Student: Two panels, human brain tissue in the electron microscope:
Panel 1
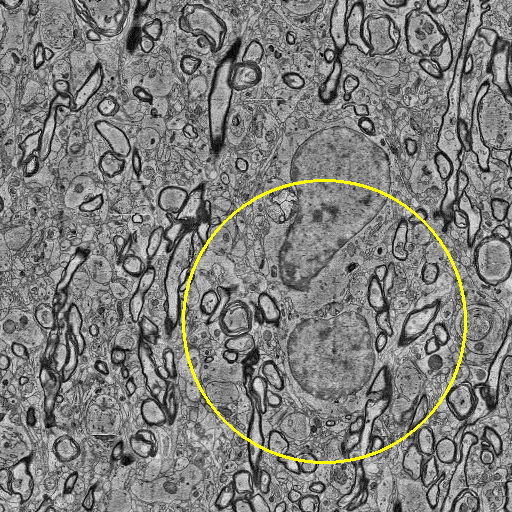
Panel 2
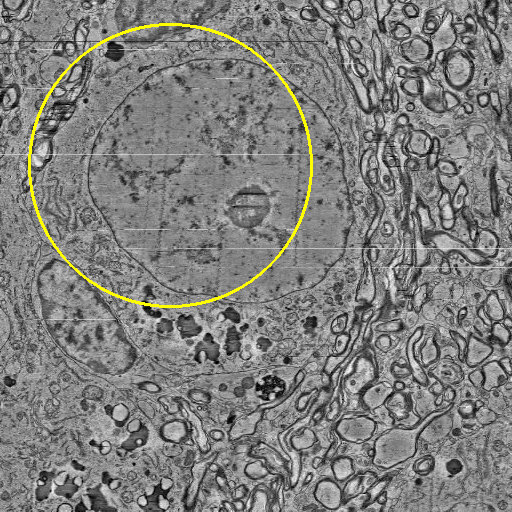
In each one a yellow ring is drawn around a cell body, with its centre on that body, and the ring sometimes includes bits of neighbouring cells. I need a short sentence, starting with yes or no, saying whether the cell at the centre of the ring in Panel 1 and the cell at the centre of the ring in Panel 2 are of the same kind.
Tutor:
No, they are two kinds of cell.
